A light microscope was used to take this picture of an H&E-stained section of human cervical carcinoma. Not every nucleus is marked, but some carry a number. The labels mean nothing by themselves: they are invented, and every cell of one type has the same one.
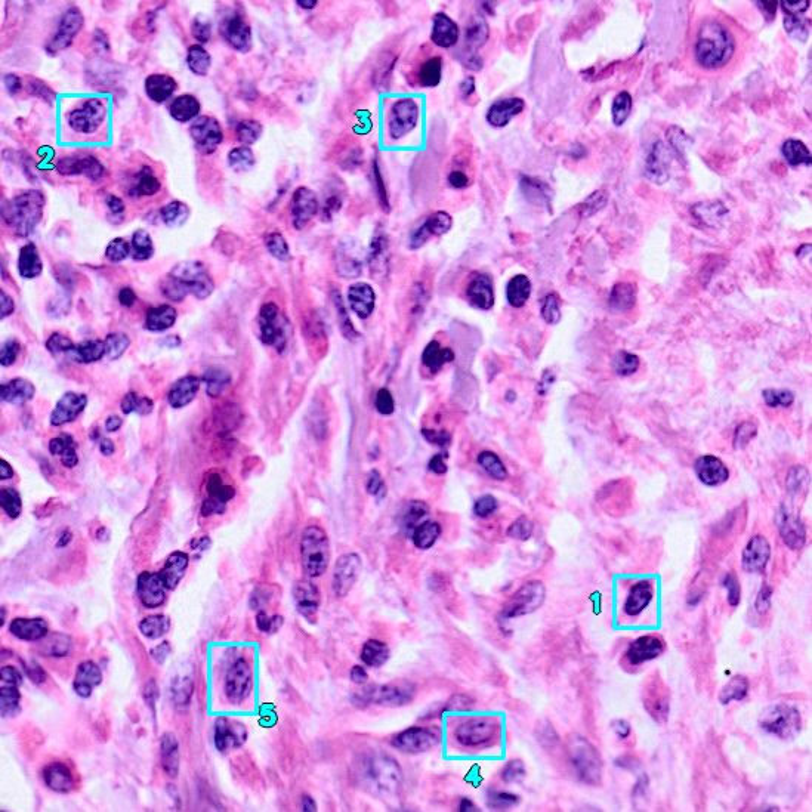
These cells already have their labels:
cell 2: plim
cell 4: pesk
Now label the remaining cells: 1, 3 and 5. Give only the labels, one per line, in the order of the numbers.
plim
plim
pesk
